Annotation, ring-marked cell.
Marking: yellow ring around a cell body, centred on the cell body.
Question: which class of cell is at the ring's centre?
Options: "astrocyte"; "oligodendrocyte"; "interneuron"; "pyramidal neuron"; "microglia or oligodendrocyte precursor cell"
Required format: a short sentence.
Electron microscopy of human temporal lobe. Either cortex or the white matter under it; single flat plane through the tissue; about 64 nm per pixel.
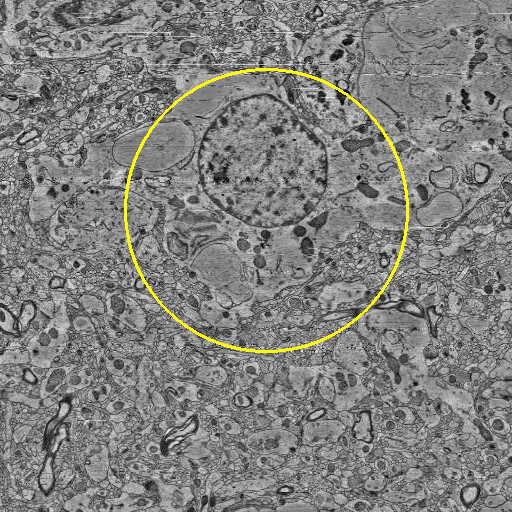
At the ring's centre is an astrocyte.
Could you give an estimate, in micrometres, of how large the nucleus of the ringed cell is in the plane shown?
In this plane, approximately 8 micrometres across.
